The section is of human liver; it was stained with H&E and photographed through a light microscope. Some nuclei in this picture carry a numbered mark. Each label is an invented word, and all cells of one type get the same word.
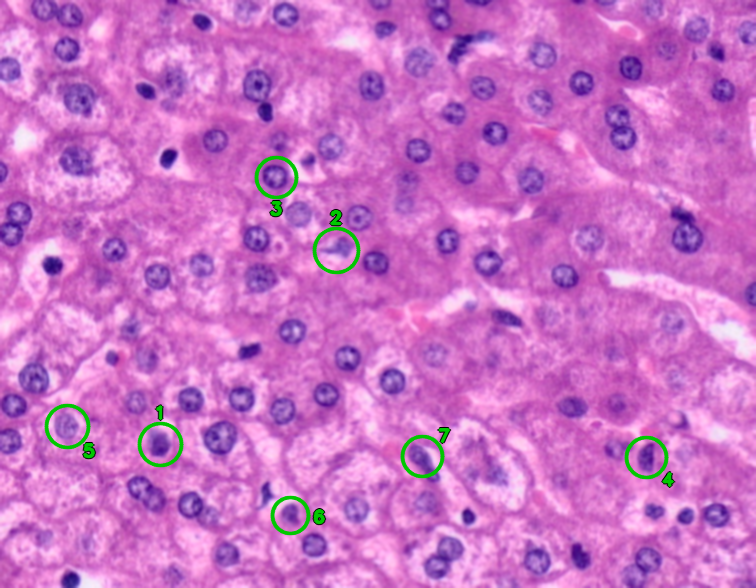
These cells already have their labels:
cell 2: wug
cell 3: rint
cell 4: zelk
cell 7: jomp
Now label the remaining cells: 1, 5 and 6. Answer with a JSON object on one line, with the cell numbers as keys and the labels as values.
{"1": "wug", "5": "rint", "6": "jomp"}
